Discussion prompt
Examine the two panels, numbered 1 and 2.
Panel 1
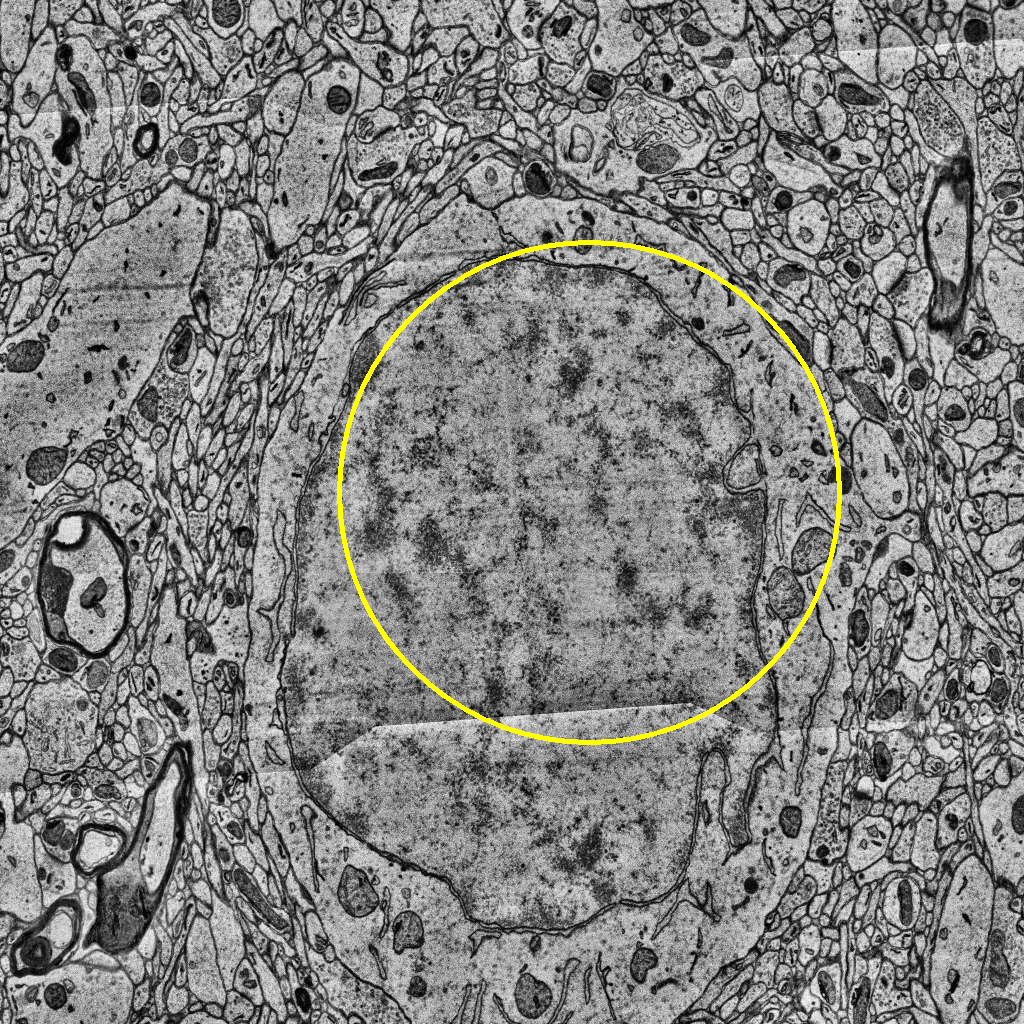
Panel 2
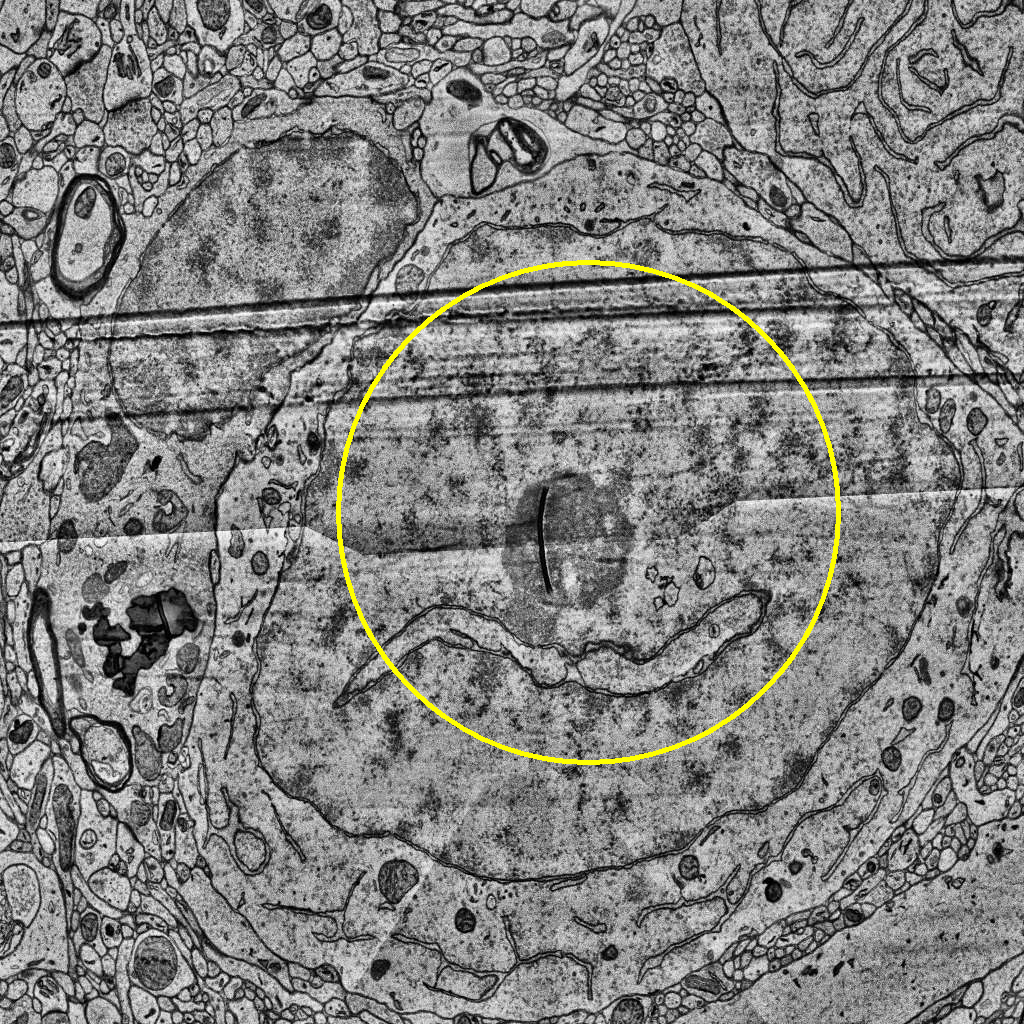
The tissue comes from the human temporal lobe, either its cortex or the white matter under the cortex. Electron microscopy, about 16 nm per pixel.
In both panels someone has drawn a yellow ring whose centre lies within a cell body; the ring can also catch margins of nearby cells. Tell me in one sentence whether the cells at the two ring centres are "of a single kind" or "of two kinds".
Taken together, the two cells at the ring centres of Panels 1 and 2 are of a single kind.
